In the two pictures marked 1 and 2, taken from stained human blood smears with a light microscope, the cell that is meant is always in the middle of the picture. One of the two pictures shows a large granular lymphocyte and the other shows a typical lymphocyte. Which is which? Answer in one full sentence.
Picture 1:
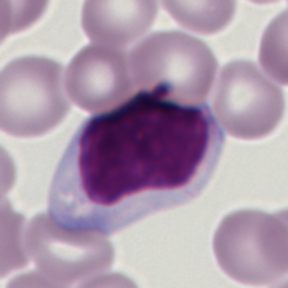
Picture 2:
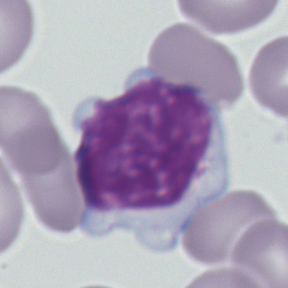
Picture 1 is of a large granular lymphocyte, and picture 2 is of a typical lymphocyte.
